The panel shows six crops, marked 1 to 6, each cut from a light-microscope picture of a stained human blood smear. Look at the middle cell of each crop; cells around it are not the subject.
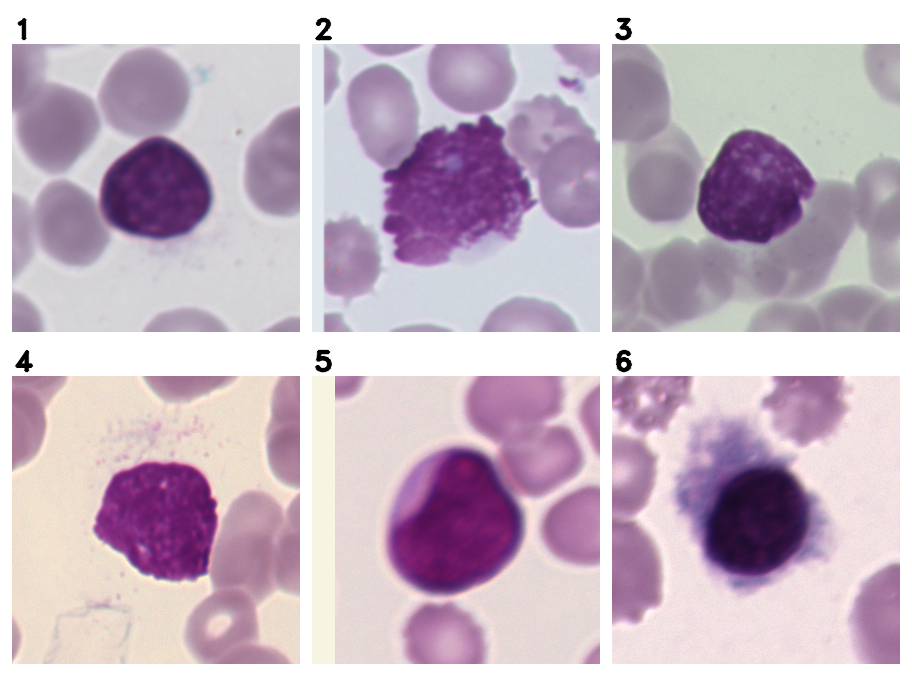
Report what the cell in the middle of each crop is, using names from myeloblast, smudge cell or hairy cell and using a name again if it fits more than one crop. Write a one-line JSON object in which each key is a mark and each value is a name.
{"1": "smudge cell", "2": "smudge cell", "3": "smudge cell", "4": "smudge cell", "5": "myeloblast", "6": "hairy cell"}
